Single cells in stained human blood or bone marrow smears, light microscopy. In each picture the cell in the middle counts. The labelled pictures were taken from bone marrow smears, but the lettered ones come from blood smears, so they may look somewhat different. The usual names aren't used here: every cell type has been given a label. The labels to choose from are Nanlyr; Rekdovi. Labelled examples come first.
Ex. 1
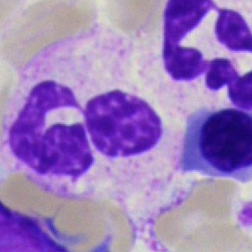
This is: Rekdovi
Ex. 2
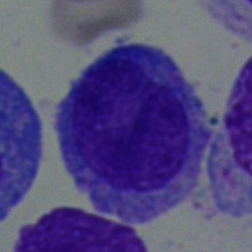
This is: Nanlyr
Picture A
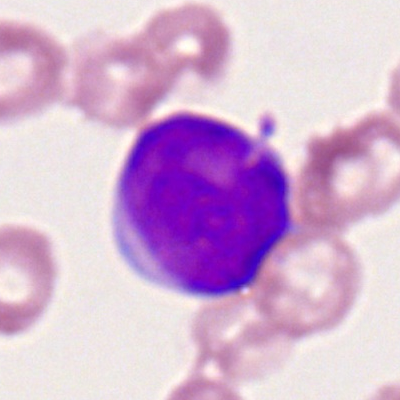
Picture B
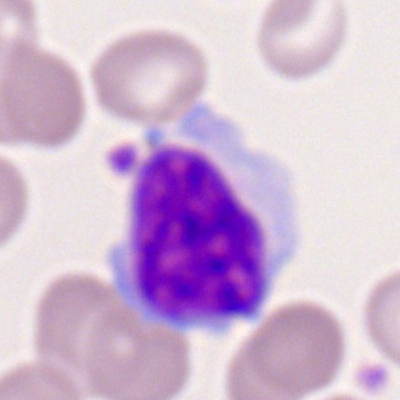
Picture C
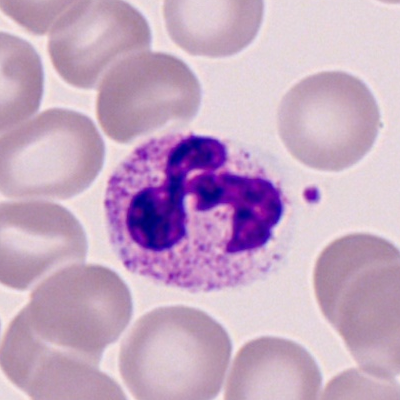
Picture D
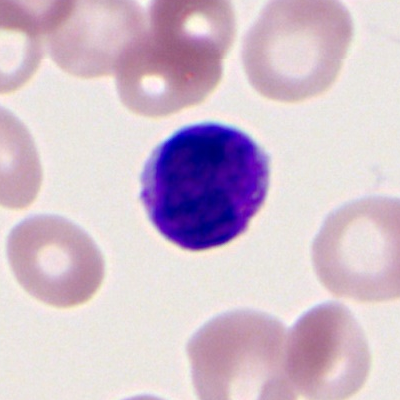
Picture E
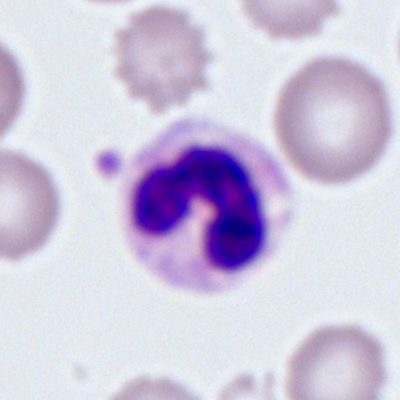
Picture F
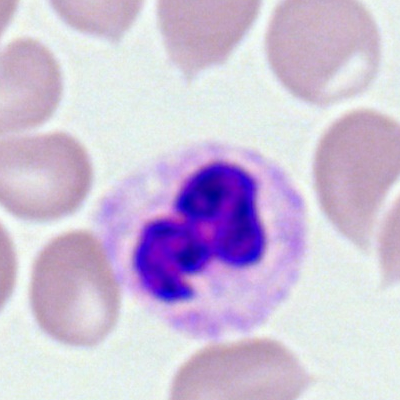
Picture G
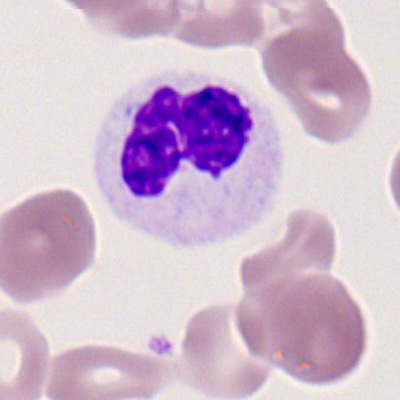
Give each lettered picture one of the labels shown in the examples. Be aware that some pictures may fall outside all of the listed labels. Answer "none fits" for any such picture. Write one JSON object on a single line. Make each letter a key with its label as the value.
{"A": "Nanlyr", "B": "none fits", "C": "Rekdovi", "D": "none fits", "E": "Rekdovi", "F": "Rekdovi", "G": "Rekdovi"}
